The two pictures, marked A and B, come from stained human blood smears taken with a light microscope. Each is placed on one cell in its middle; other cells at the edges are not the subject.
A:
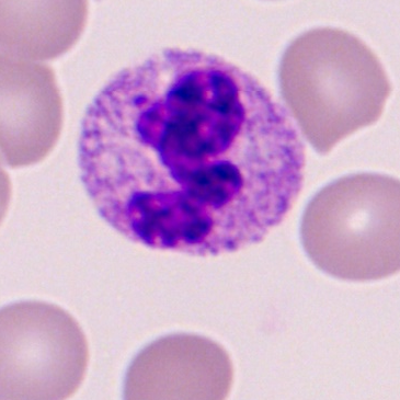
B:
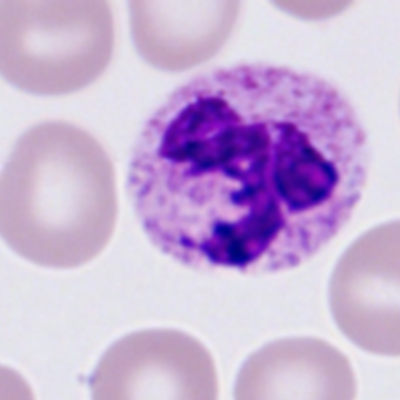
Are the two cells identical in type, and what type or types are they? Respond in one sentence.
Yes, neutrophils are seen in both crops.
